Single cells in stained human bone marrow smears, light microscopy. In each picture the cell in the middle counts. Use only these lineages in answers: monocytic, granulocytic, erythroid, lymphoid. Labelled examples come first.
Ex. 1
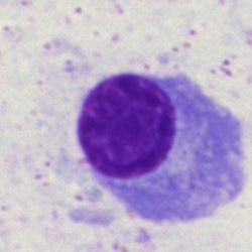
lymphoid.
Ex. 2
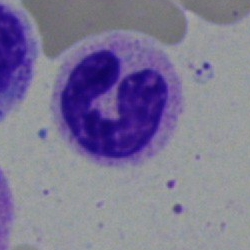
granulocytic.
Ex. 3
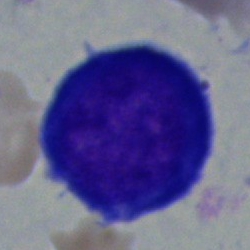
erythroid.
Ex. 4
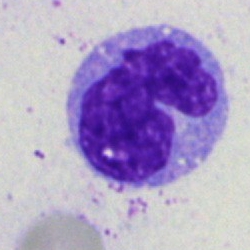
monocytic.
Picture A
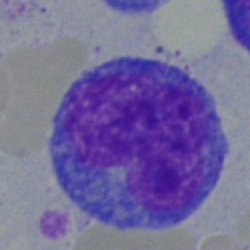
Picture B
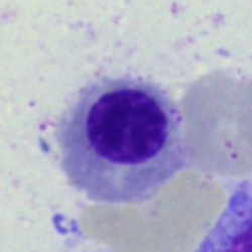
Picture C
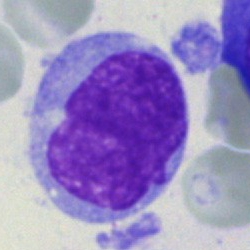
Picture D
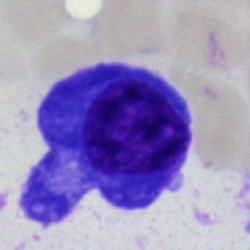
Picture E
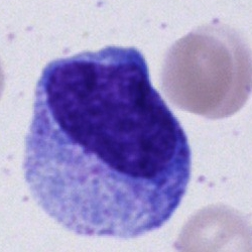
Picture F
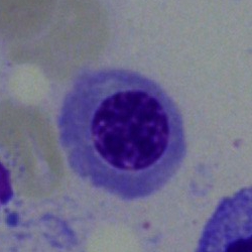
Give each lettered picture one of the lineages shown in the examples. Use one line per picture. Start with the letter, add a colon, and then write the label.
A: monocytic.
B: erythroid.
C: monocytic.
D: lymphoid.
E: granulocytic.
F: erythroid.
